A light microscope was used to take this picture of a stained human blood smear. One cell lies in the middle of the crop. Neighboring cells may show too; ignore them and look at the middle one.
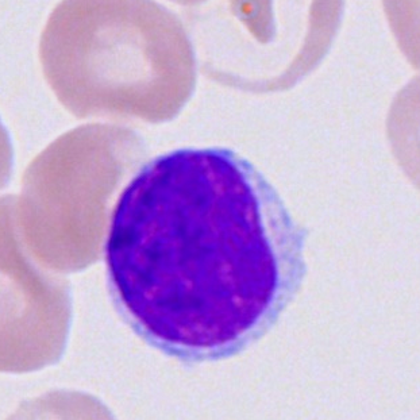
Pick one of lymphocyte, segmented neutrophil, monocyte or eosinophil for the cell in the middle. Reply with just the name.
lymphocyte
